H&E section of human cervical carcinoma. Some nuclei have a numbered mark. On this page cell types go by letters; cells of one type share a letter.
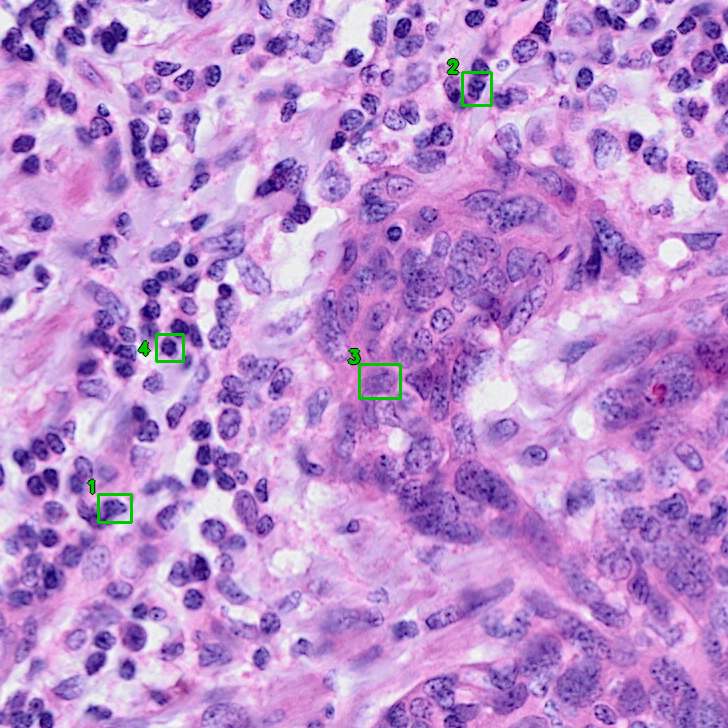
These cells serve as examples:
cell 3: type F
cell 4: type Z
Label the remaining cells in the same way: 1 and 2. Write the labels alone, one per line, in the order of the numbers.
type Z
type Z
